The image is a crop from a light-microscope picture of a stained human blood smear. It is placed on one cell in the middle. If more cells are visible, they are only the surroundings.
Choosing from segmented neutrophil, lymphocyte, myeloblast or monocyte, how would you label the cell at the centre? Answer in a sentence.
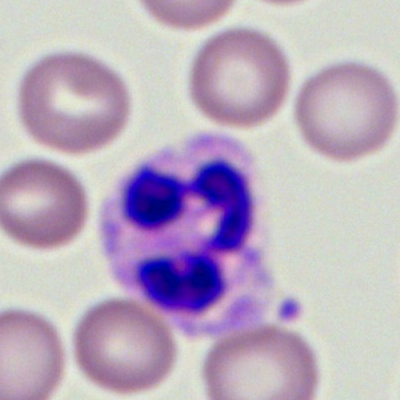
The cell nearest the centre of this crop is a segmented neutrophil.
